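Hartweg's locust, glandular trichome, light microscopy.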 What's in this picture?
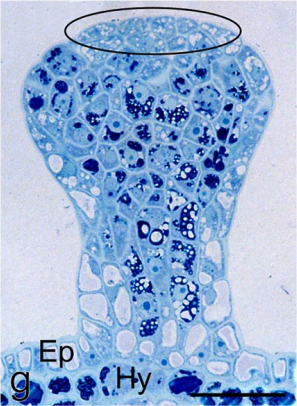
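A multicellular outgrowth rises from a layer of surface cells, with a narrow stalk of elongated cells and an oval head of many tightly packed polygonal cells. Many head and stalk cells hold dark blue clumped deposits in their vacuoles, while the cells at the very top are paler and smaller. Beneath the outgrowth, a row of cells packed with very dark contents lies under the surface layer.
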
